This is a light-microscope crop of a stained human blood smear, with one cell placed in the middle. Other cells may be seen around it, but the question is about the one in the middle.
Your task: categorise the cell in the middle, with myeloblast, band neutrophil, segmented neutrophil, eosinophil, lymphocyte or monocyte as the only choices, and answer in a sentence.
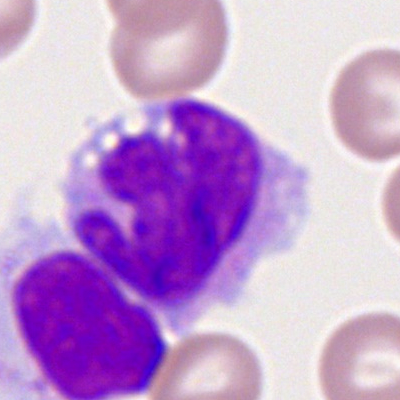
Framed in the middle of the crop is a monocyte.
